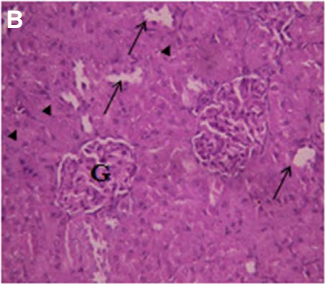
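This is kidney cortex, showing renal corpuscles among closely packed convoluted tubules. Each corpuscle is a round knot of glomerular capillary loops, crowded with purple nuclei, enclosed by a thin capsule of flattened cells with only a narrow clear space between tuft and capsule. Scattered among them are a few tubules with wider, clear, open lumens. The tissue looks orderly, with tubules lying side by side and little space between them.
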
